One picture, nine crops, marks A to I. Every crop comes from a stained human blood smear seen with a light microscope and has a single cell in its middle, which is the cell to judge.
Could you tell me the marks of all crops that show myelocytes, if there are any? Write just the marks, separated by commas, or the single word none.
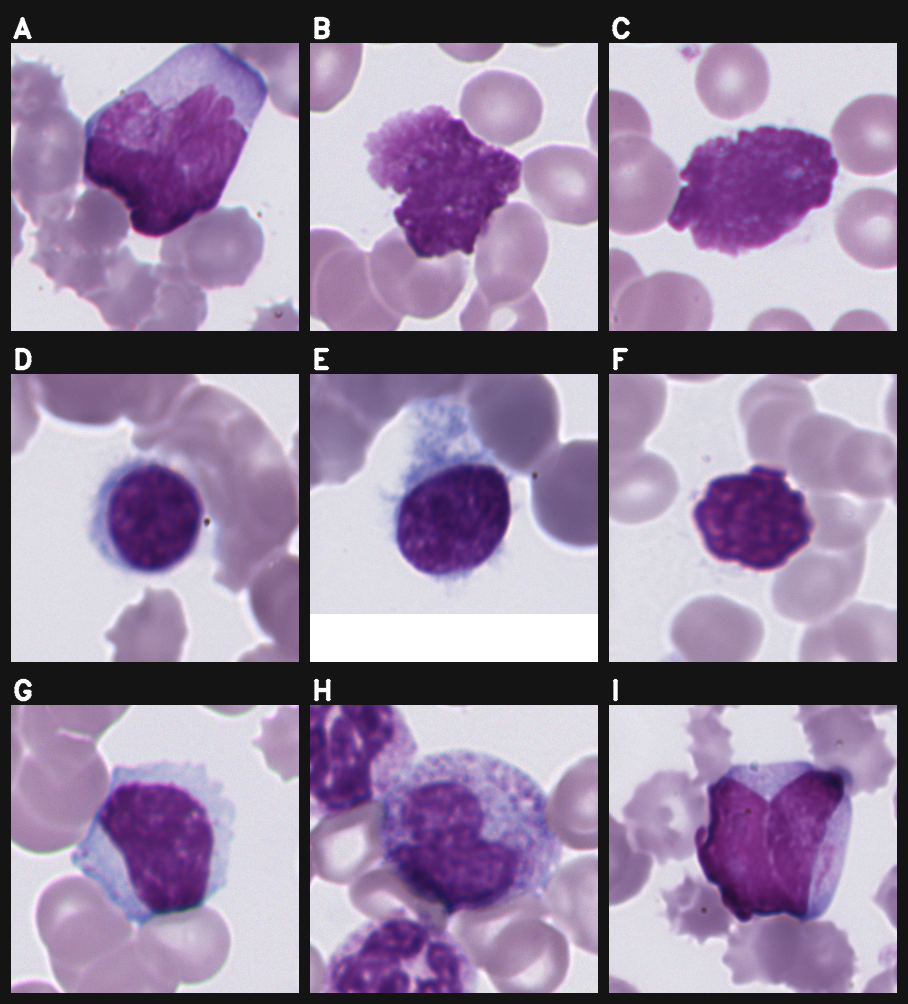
H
